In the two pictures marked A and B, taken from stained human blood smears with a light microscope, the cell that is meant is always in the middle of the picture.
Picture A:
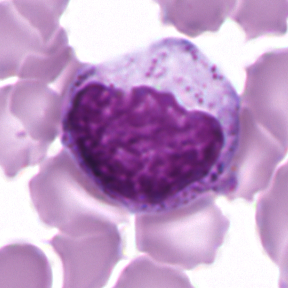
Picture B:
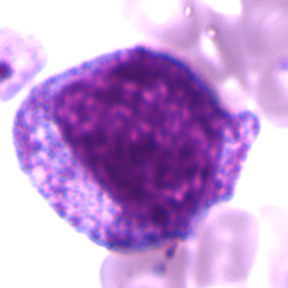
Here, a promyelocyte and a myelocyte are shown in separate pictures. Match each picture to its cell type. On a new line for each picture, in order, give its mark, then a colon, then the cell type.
A: myelocyte
B: promyelocyte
